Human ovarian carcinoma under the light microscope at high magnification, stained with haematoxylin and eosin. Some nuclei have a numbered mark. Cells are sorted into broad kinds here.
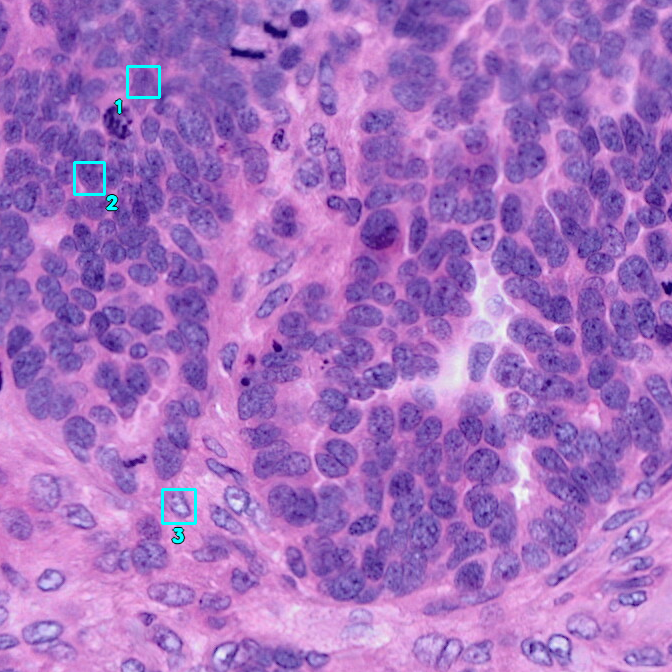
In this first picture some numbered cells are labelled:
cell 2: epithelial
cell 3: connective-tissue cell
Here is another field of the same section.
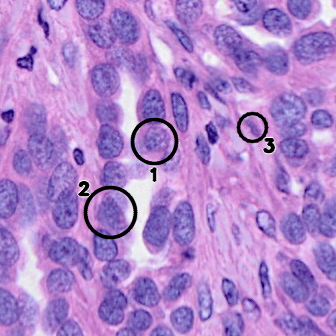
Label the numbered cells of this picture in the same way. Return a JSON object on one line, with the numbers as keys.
{"1": "epithelial", "2": "epithelial", "3": "connective-tissue cell"}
